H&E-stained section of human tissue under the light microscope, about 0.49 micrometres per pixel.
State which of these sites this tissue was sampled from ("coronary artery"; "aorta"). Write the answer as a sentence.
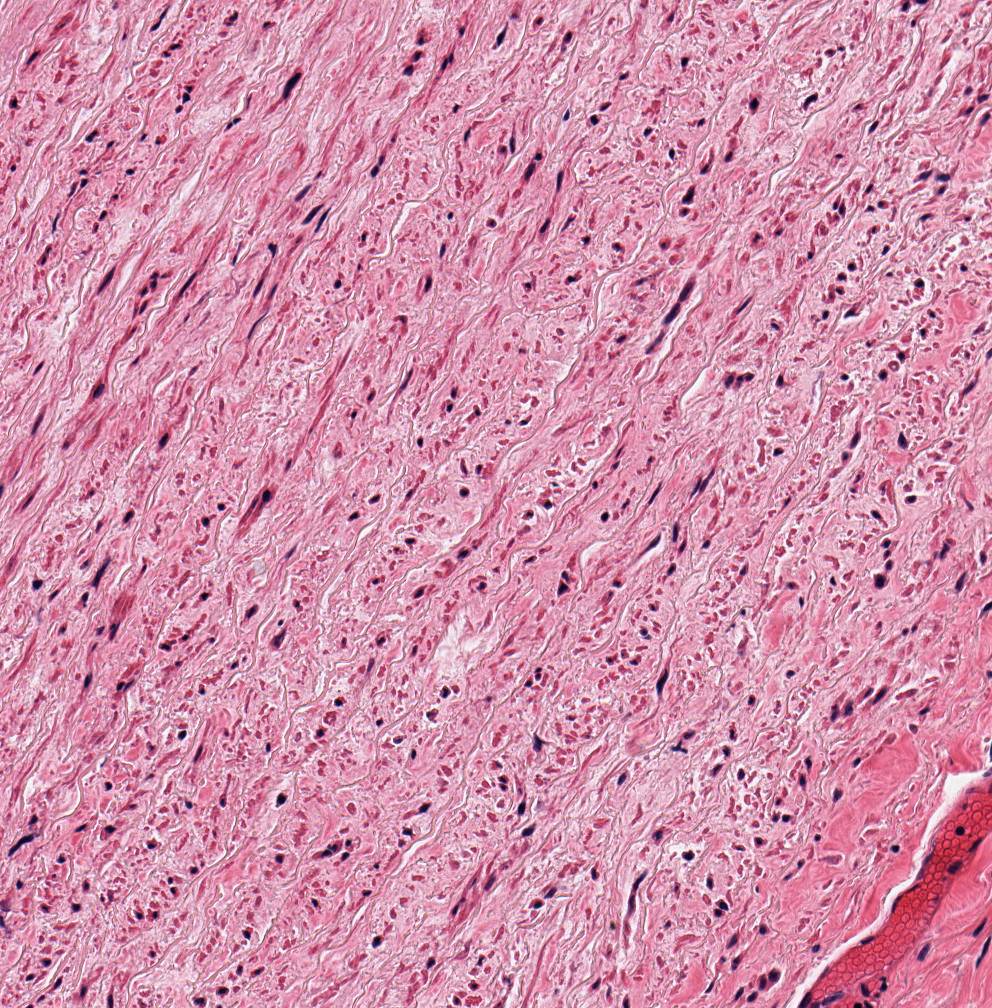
The site this tissue was sampled from is the aorta.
